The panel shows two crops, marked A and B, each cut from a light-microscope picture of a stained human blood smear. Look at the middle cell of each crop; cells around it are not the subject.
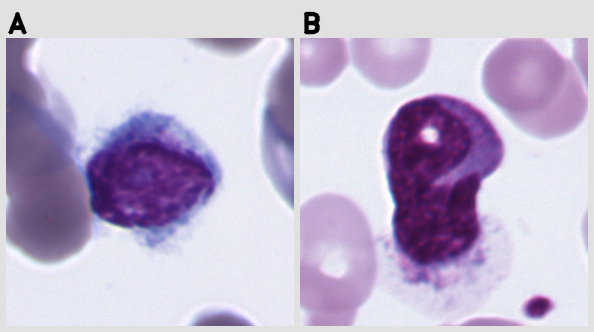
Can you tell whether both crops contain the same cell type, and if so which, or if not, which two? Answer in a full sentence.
No, crop B centres on a monocyte, and crop A centres on a hairy cell.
